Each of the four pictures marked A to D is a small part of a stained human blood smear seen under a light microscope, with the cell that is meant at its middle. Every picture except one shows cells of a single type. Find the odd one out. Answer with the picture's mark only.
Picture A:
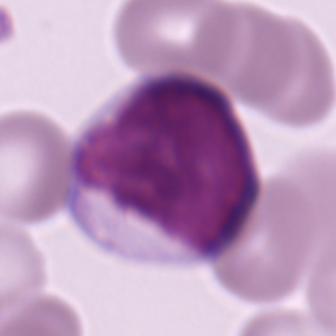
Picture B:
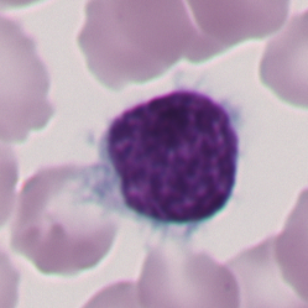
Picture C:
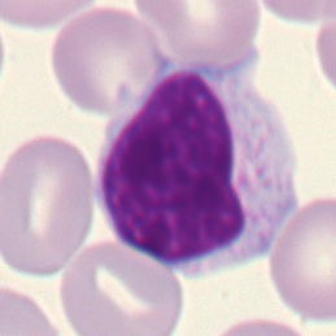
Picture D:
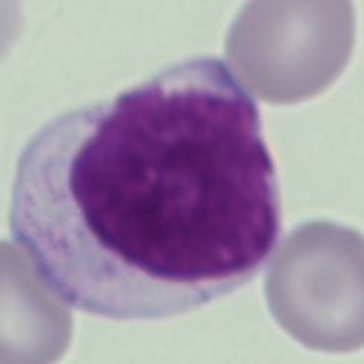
B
